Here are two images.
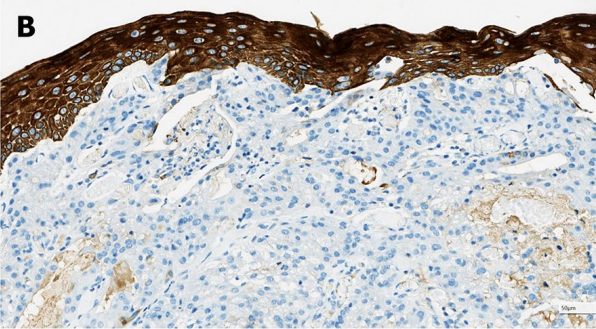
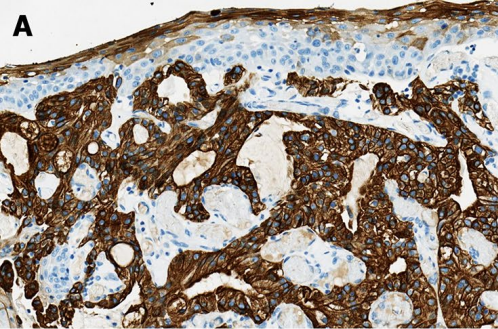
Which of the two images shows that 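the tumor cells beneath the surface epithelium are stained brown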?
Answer: The second image.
